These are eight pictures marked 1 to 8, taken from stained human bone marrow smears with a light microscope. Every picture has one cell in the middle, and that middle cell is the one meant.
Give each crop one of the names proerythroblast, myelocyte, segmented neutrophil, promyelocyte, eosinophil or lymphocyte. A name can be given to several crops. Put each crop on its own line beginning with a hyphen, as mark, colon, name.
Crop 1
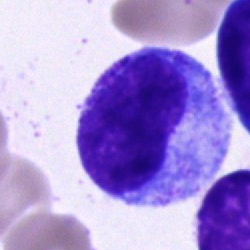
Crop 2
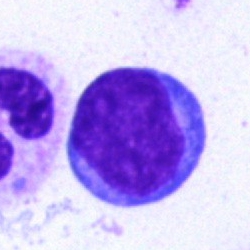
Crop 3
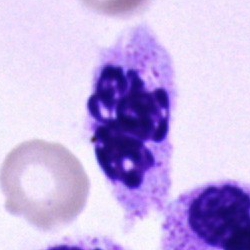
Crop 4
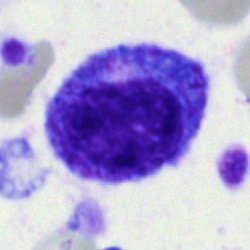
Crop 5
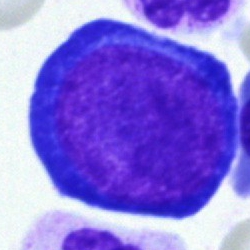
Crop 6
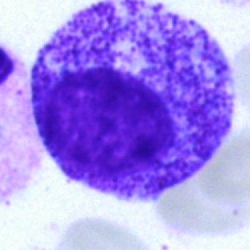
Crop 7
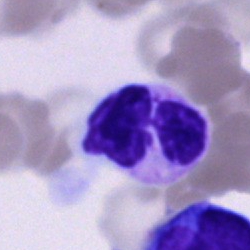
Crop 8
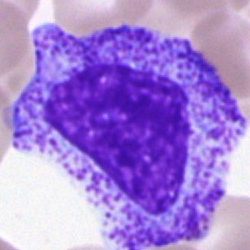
- 1: promyelocyte
- 2: lymphocyte
- 3: segmented neutrophil
- 4: myelocyte
- 5: proerythroblast
- 6: myelocyte
- 7: segmented neutrophil
- 8: myelocyte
